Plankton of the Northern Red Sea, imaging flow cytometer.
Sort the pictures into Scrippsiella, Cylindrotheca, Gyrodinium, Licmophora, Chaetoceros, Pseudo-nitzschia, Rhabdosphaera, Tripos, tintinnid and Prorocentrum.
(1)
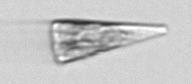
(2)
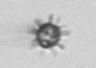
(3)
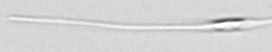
Licmophora: 1
Rhabdosphaera: 2
Cylindrotheca: 3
